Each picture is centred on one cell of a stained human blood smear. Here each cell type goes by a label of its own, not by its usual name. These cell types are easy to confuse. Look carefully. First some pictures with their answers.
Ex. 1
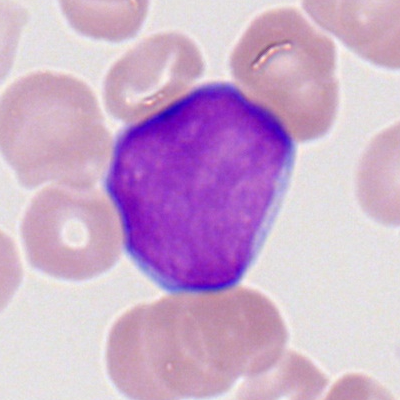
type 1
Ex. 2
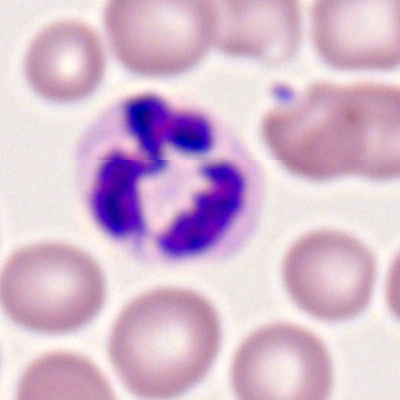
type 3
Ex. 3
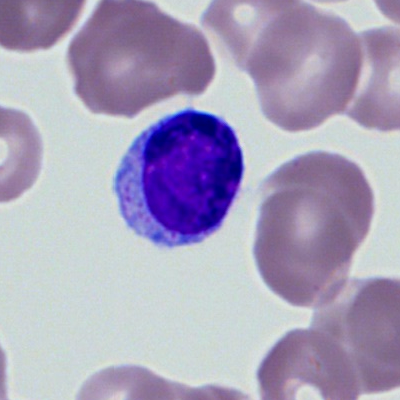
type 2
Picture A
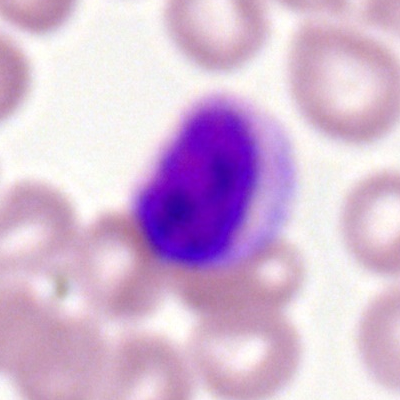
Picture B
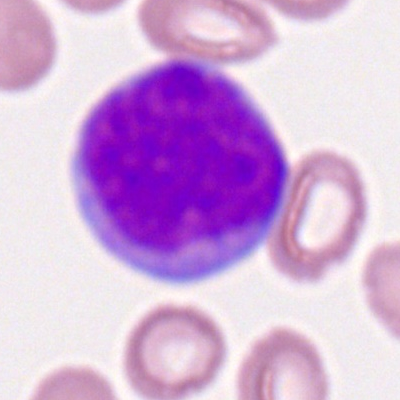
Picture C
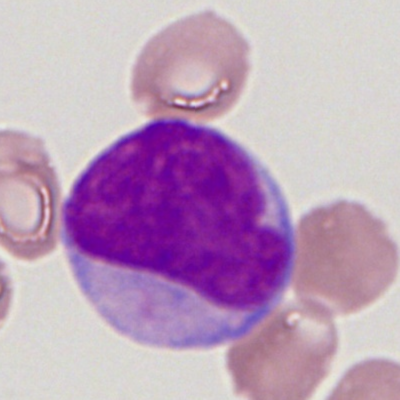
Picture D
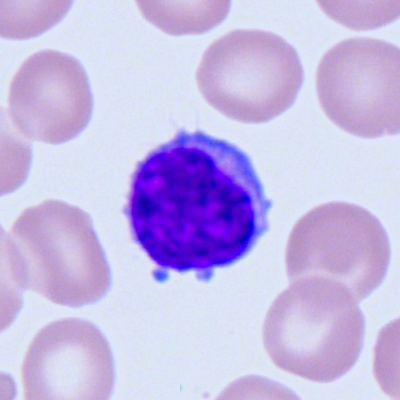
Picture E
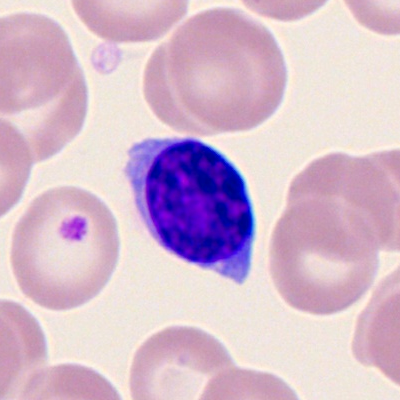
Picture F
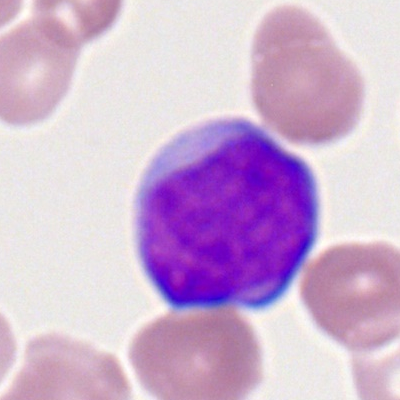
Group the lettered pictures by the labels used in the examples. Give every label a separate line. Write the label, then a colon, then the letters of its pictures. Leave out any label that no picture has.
type 1: B, C, F
type 2: A, D, E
